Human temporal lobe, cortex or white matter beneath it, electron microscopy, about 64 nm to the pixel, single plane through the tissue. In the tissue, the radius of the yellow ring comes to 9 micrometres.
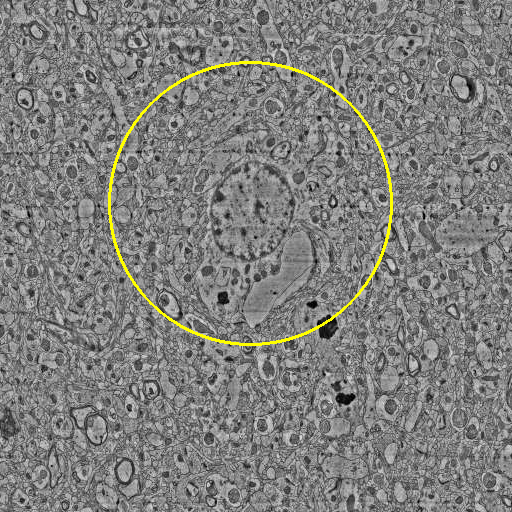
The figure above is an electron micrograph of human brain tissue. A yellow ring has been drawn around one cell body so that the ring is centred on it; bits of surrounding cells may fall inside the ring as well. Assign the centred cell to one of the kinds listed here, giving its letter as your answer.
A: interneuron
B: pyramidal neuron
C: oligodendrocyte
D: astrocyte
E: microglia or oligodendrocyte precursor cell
D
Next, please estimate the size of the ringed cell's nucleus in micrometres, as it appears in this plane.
Approximately 6 by 5 micrometers in this plane.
